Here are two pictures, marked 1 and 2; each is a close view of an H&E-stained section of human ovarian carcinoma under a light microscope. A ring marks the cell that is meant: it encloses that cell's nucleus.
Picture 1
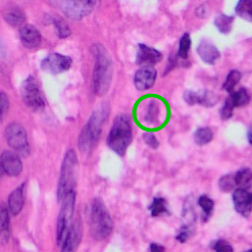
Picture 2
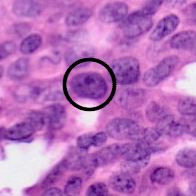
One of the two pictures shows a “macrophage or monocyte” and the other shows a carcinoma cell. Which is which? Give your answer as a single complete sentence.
The cell in picture 1 is a “macrophage or monocyte”, and the one in picture 2 is a carcinoma cell.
